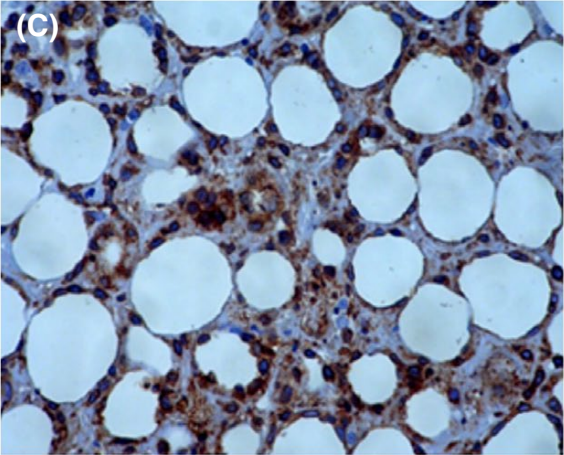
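Fat tissue is seen with rounded clear spaces of fat cells of varied size, separated by narrow strands of cells. Cells with dark, rounded nuclei and brown granular cytoplasm line the margins of the fat spaces, rimming them. A few clusters of more strongly brown cells lie in the strands between the spaces, against a pale blue background.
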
